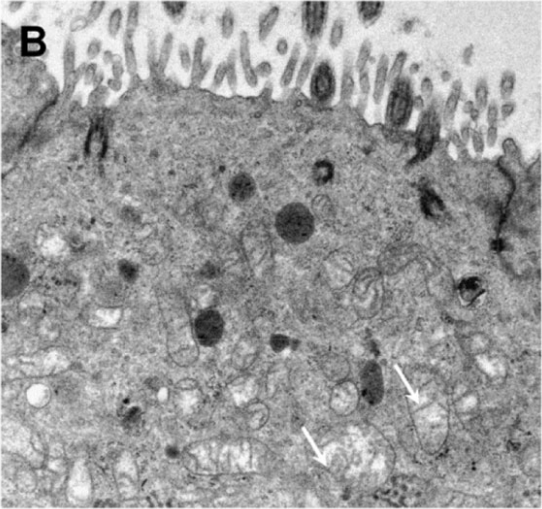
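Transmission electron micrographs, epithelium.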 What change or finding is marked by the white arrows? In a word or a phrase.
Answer: damaged mitochondrion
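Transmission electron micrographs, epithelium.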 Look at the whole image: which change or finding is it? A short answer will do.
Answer: Loss of cilia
